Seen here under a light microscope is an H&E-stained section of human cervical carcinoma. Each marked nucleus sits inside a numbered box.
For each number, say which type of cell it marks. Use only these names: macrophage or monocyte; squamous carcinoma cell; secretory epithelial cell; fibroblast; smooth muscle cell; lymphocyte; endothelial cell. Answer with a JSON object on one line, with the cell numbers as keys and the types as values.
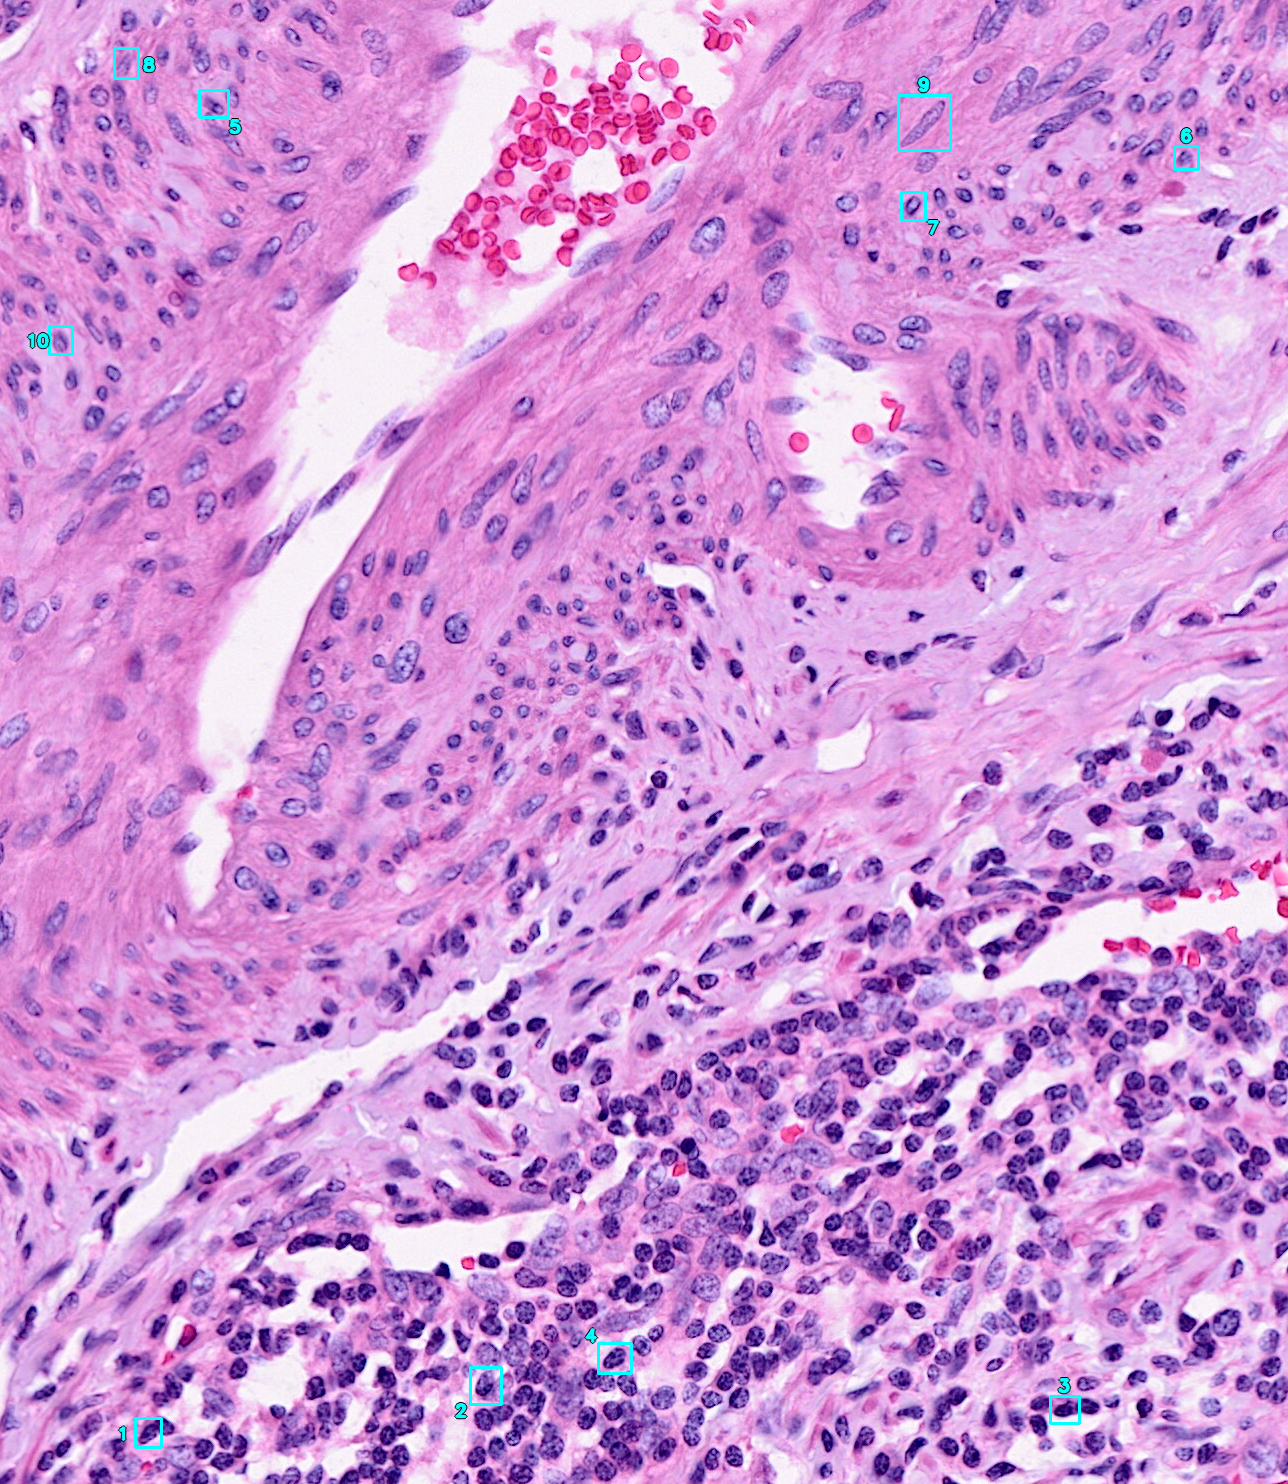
{"1": "lymphocyte", "2": "lymphocyte", "3": "lymphocyte", "4": "lymphocyte", "5": "smooth muscle cell", "6": "smooth muscle cell", "7": "smooth muscle cell", "8": "smooth muscle cell", "9": "smooth muscle cell", "10": "smooth muscle cell"}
